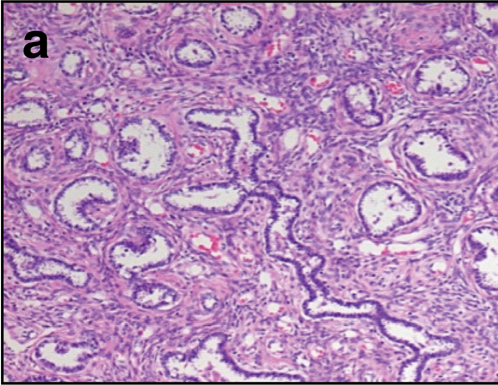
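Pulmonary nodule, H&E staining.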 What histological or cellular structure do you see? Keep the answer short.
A: complex branching glandular structures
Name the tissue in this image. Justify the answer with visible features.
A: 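Each lumen is rimmed by one row of cells. The lining cells are about as tall as wide or taller, with dark nuclei in a row.
Answer: a single layer of simple cuboidal to columnar epithelium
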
